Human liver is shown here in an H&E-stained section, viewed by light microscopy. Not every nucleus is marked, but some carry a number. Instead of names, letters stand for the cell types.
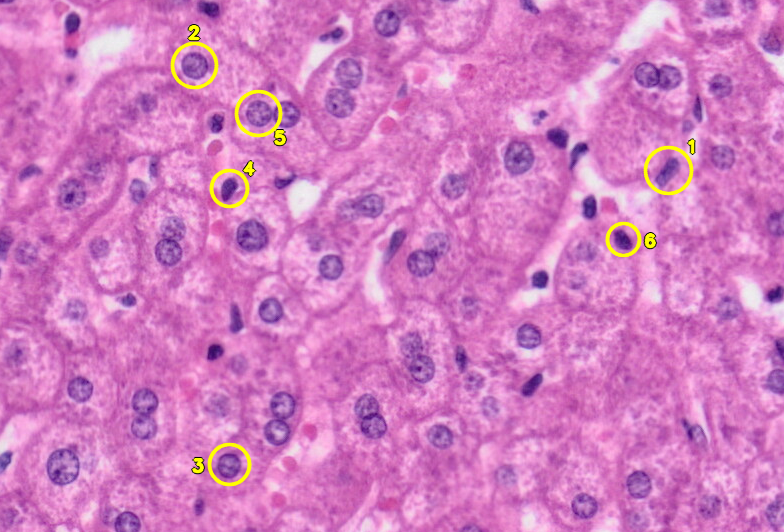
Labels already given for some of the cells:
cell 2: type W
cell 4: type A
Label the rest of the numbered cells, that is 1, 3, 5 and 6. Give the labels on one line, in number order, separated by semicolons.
type A; type W; type W; type A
